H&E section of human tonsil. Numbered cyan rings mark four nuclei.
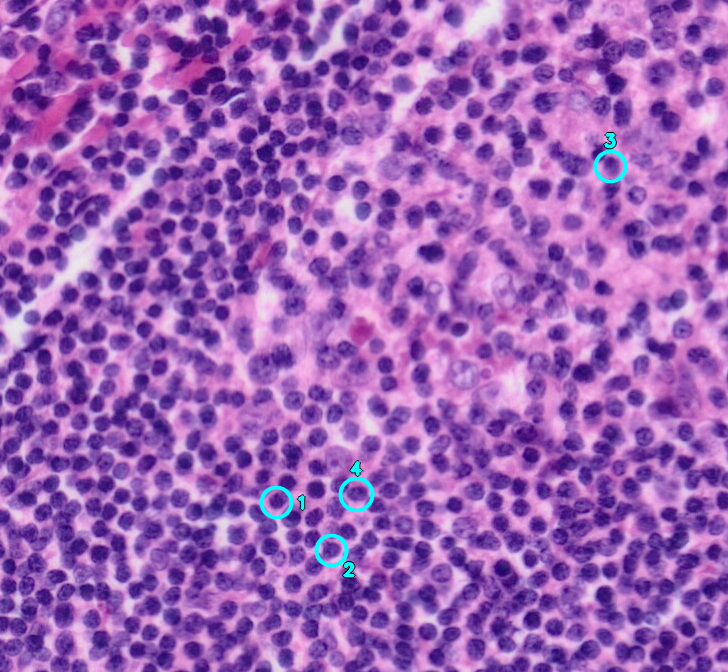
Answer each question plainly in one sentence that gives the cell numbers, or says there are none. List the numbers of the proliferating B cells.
Of all the numbered cells, only cell 3 is a proliferating B cell.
